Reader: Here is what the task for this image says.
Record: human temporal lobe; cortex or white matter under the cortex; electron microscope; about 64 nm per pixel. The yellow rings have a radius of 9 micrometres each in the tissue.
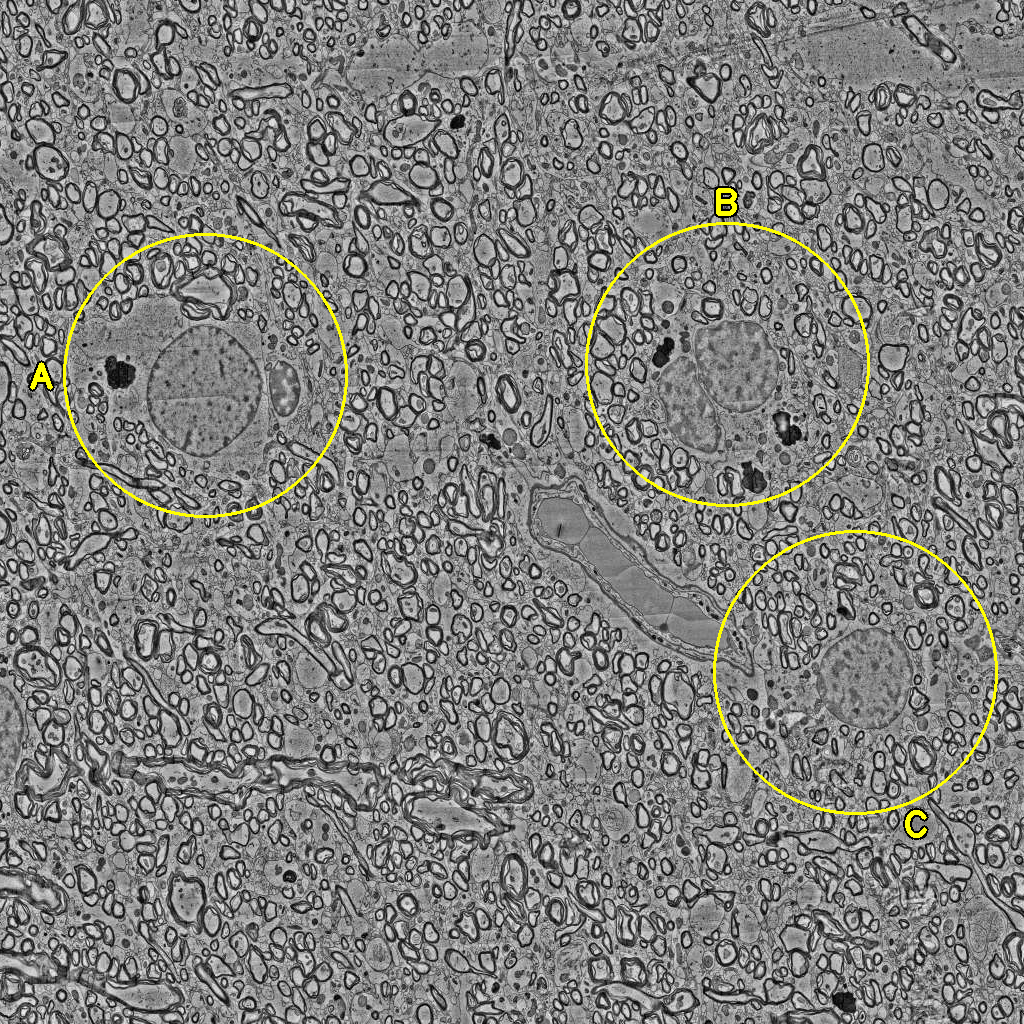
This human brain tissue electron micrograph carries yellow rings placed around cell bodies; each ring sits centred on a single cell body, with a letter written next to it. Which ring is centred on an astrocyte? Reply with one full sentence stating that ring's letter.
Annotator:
Letter A marks the ring whose centre holds the cell asked for.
